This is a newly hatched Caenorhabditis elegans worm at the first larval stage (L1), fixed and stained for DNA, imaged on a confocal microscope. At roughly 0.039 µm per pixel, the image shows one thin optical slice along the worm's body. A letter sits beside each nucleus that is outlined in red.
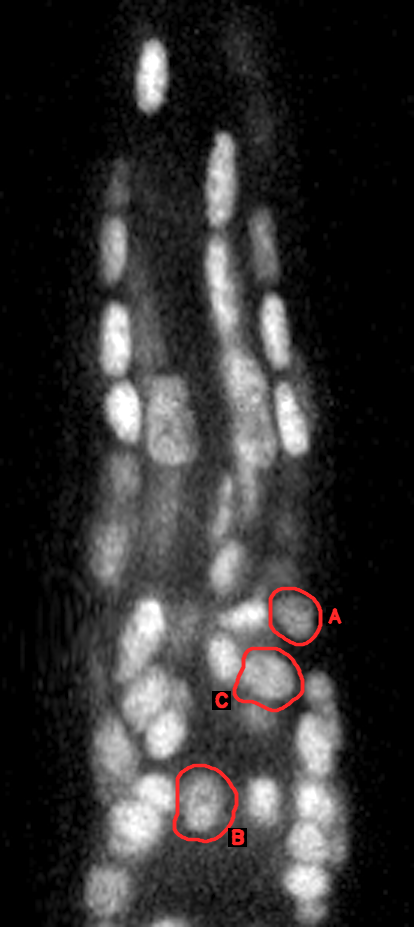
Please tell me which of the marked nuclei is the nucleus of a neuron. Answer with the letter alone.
B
